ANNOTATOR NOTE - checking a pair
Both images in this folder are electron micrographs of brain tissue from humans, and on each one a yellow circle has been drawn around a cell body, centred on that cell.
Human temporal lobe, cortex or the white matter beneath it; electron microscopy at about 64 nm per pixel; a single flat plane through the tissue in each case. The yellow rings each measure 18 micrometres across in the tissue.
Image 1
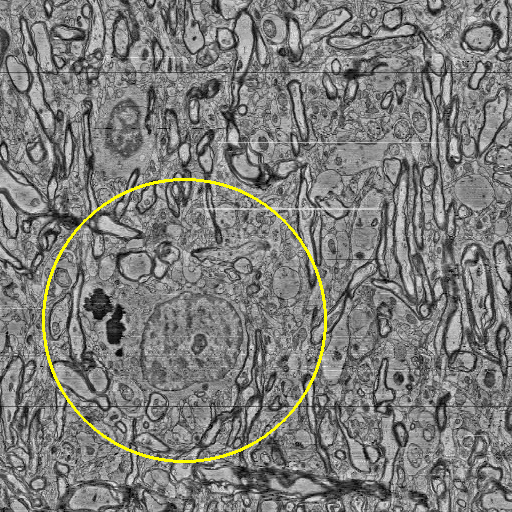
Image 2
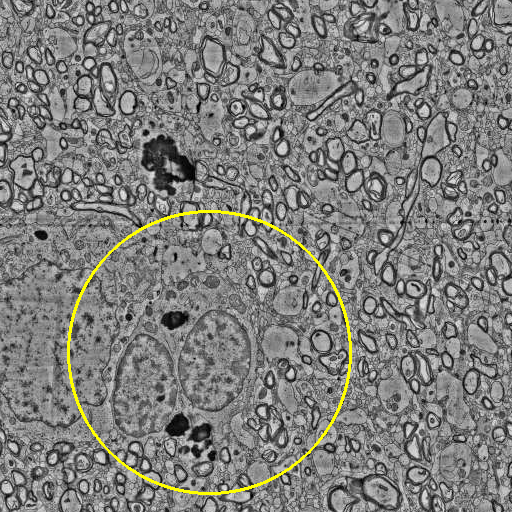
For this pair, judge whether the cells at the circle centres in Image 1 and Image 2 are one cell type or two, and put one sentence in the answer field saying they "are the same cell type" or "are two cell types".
For this pair, the cells at the circle centres in Images 1 and 2 are the same cell type.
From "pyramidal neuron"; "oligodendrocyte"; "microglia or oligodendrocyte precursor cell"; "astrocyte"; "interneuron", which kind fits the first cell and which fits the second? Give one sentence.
The first and the second cell are each an oligodendrocyte.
